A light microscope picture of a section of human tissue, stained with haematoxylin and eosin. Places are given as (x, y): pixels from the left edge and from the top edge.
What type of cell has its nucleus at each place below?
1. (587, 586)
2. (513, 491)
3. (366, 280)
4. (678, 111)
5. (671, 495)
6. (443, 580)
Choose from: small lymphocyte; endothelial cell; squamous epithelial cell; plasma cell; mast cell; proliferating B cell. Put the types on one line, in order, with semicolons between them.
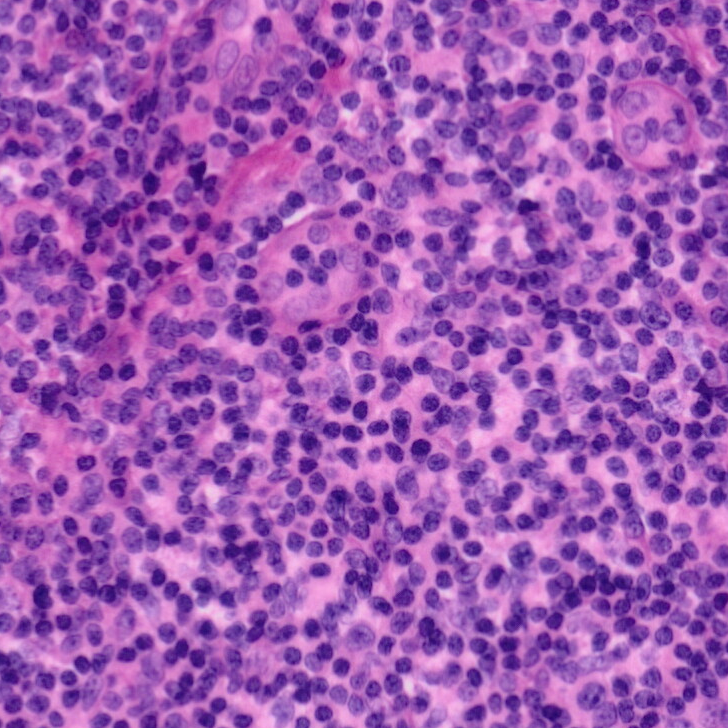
small lymphocyte; small lymphocyte; endothelial cell; endothelial cell; small lymphocyte; small lymphocyte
